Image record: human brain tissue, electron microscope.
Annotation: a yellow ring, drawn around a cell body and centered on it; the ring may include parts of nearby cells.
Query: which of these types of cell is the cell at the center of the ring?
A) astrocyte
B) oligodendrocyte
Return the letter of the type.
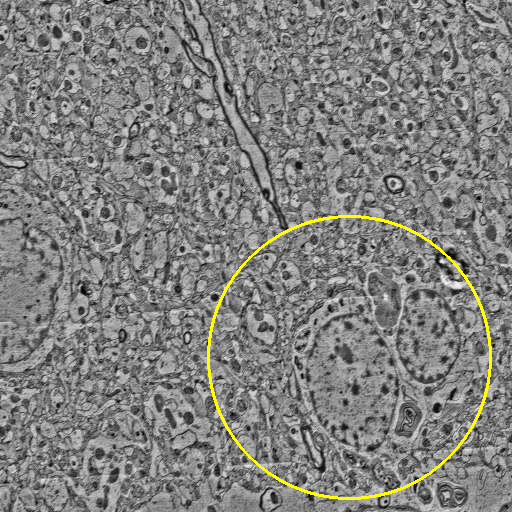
A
